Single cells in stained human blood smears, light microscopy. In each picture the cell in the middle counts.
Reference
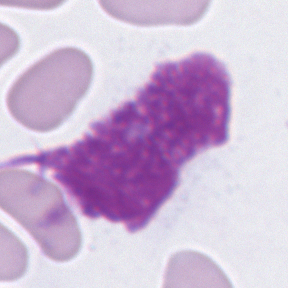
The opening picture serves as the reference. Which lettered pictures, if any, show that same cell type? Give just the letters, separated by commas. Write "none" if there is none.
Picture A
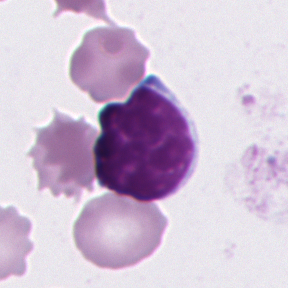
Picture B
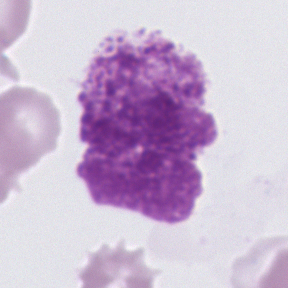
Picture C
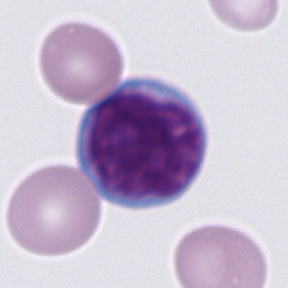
B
